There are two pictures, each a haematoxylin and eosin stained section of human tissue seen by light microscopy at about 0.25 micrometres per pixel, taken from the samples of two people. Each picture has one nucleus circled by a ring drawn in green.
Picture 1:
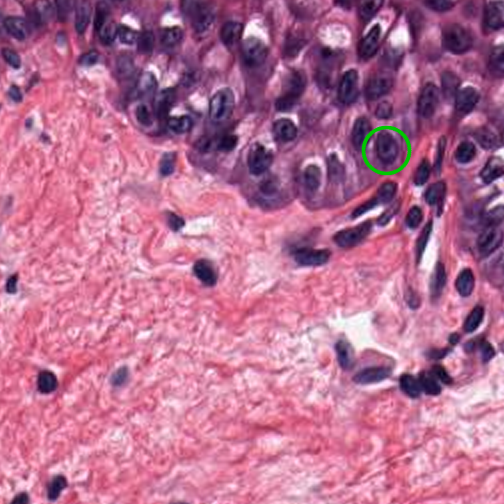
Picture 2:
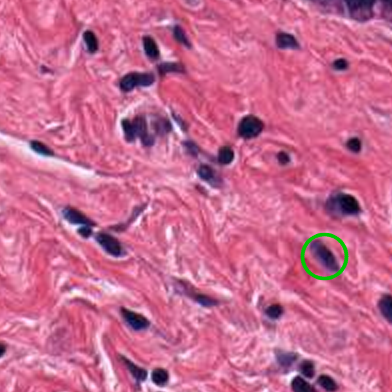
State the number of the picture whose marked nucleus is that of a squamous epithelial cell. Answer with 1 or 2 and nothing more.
1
